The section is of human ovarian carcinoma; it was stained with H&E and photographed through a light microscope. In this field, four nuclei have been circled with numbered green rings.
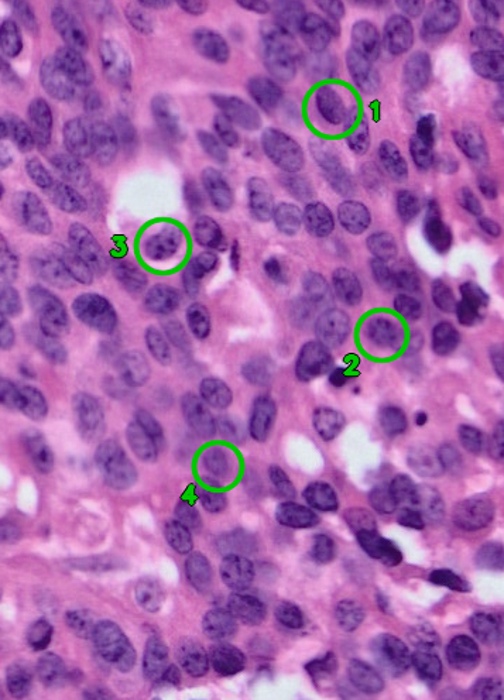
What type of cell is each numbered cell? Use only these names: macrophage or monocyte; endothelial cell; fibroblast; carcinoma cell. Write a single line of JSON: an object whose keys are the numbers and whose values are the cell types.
{"1": "carcinoma cell", "2": "carcinoma cell", "3": "macrophage or monocyte", "4": "carcinoma cell"}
